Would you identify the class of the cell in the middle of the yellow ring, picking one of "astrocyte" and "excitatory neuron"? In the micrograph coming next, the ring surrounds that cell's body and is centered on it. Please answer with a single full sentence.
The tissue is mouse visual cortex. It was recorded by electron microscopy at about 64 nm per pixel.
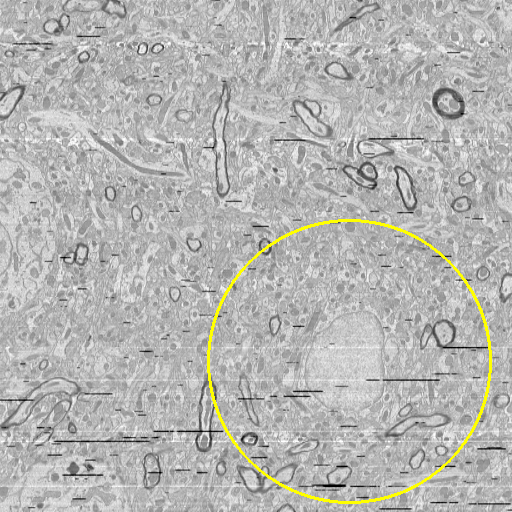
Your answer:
In the micrograph, it is an astrocyte whose body lies at the ring's center.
